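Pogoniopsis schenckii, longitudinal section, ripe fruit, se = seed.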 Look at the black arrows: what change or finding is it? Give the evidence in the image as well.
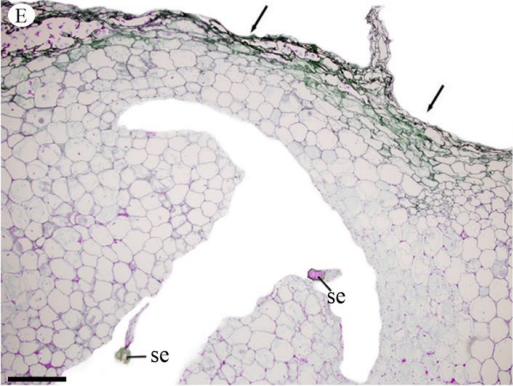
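The outer layers under the arrows are flattened, dark and crushed. Cells deeper in the wall keep their rounded polygonal outline.
Cell collapse.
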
